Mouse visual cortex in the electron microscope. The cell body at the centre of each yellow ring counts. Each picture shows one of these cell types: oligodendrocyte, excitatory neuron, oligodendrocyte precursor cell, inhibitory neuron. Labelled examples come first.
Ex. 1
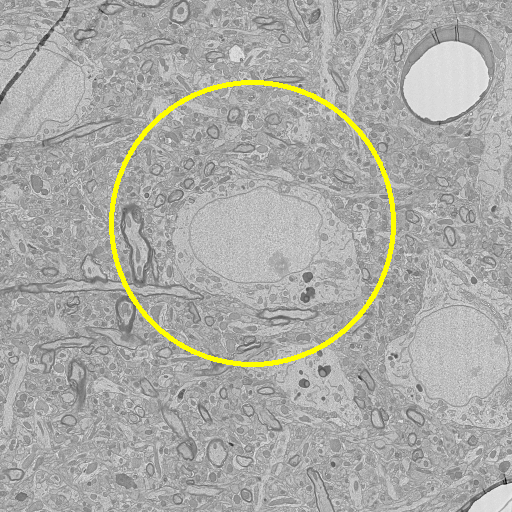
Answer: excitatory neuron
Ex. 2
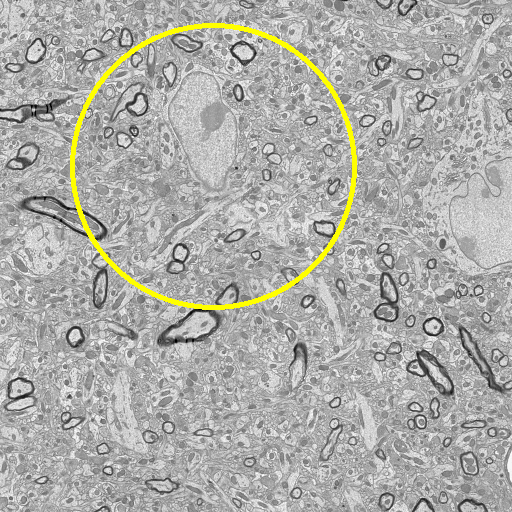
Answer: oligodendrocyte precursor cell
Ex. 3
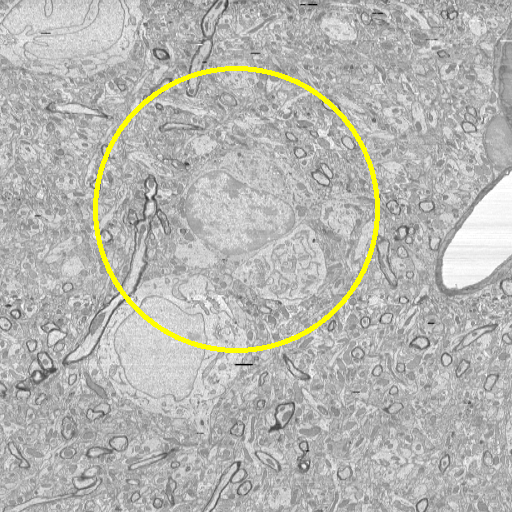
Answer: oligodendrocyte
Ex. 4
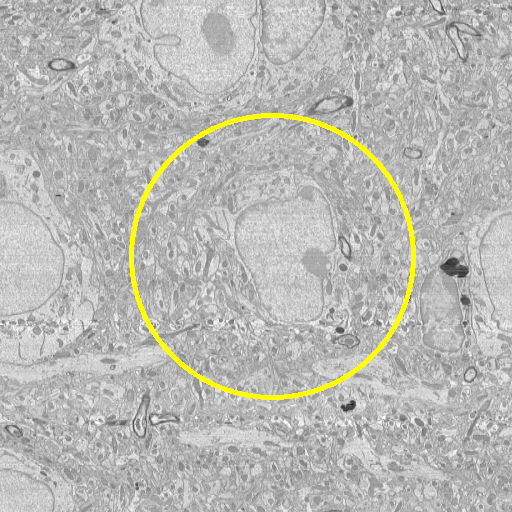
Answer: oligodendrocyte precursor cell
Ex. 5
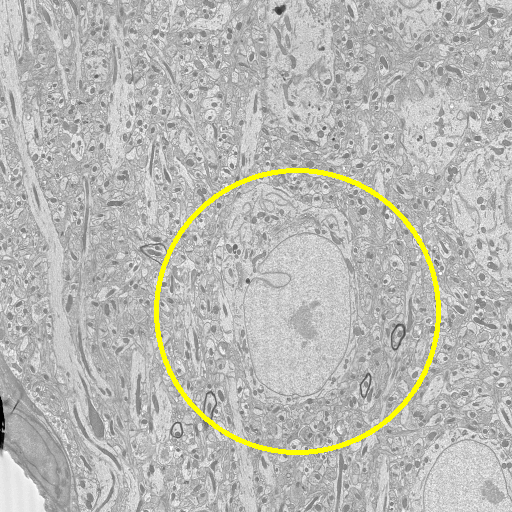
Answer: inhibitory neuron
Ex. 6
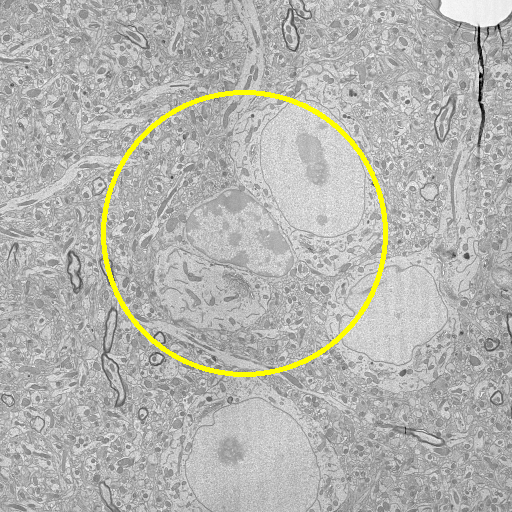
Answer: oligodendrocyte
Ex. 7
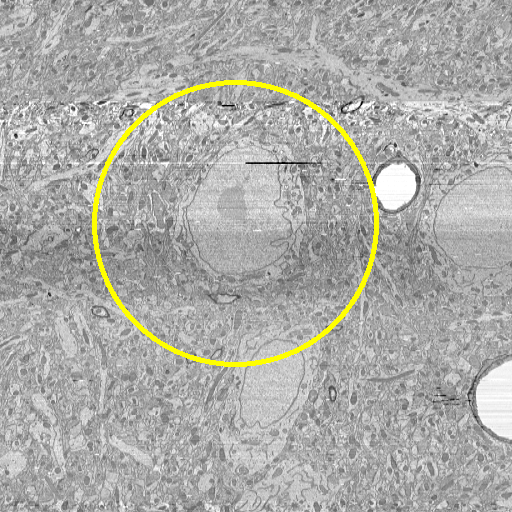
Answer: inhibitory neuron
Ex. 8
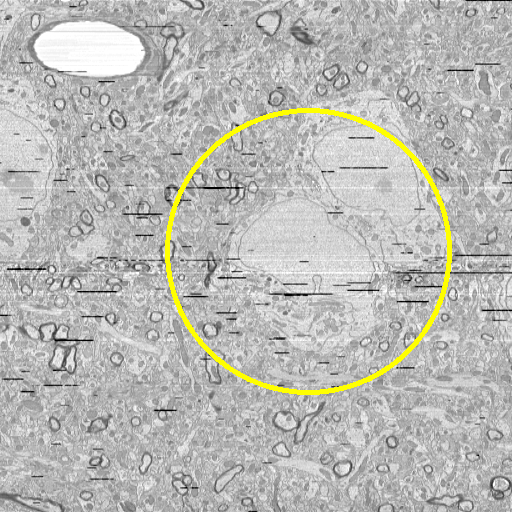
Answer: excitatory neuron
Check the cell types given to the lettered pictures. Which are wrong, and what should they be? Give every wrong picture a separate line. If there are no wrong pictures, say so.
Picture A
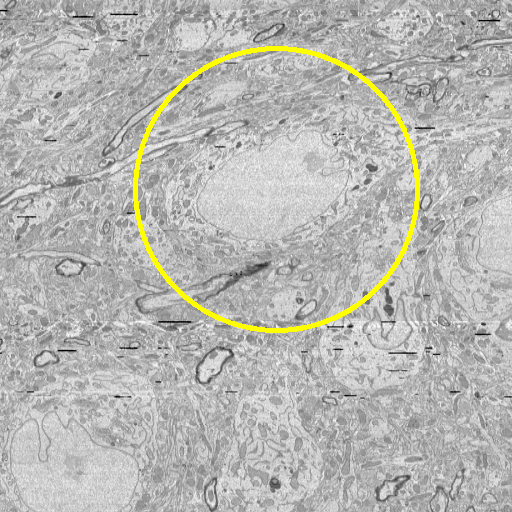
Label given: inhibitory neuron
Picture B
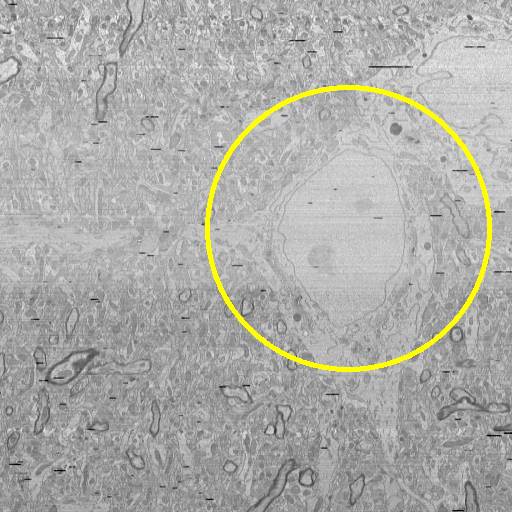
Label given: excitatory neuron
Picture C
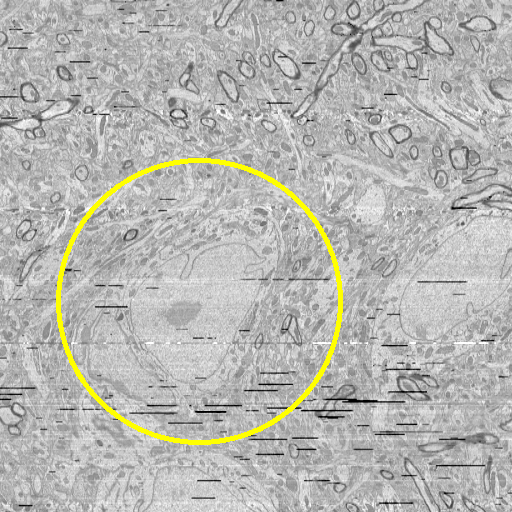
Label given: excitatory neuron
Nothing to fix; every label fits.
